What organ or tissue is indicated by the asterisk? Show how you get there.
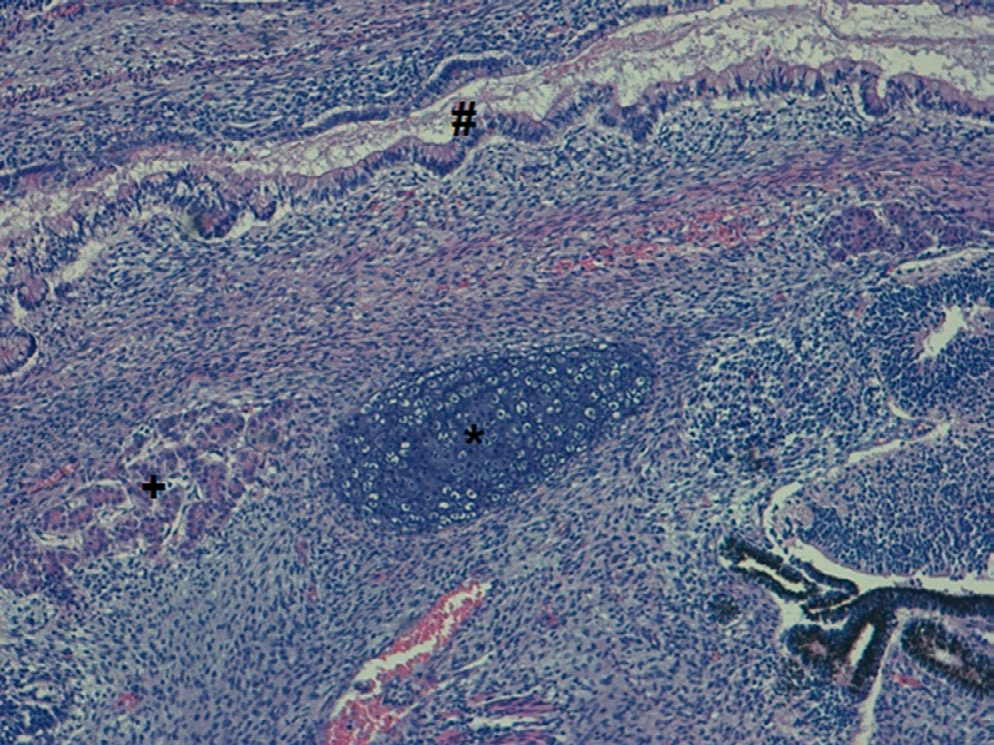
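An oval, well-delimited island in the centre has a homogeneous bluish-purple matrix. The cells of the island sit in clear rounded spaces scattered through the matrix. The island is surrounded by denser spindle-cell tissue at its rim.
Conclusion: cartilage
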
